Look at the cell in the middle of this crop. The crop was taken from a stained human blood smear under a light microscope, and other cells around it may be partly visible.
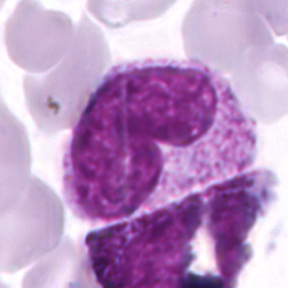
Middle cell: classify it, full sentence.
By classification, the middle cell of this crop is a band neutrophil.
